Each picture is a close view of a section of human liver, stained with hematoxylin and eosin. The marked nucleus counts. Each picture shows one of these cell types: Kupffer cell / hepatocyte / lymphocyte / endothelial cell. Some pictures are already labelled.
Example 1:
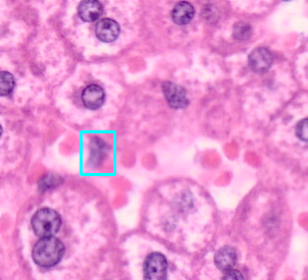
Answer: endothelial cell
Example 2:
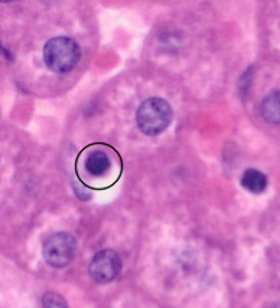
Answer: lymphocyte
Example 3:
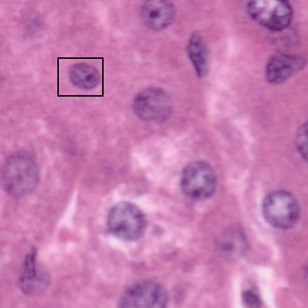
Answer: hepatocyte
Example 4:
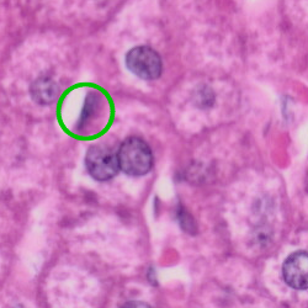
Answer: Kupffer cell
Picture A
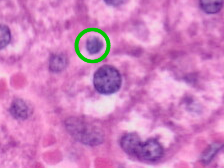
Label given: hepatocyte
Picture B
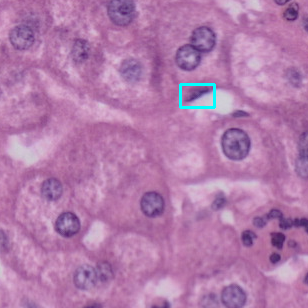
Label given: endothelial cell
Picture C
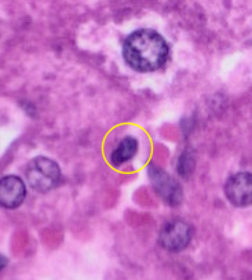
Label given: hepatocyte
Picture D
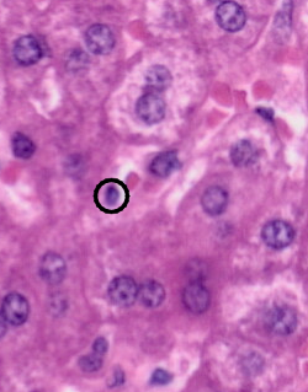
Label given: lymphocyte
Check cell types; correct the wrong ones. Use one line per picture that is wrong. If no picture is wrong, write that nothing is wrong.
Wrong: A (hepatocyte); correct: lymphocyte
Wrong: C (hepatocyte); correct: lymphocyte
